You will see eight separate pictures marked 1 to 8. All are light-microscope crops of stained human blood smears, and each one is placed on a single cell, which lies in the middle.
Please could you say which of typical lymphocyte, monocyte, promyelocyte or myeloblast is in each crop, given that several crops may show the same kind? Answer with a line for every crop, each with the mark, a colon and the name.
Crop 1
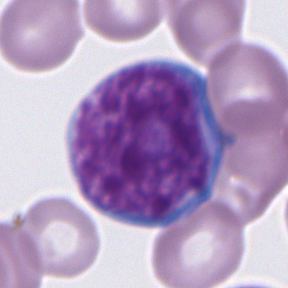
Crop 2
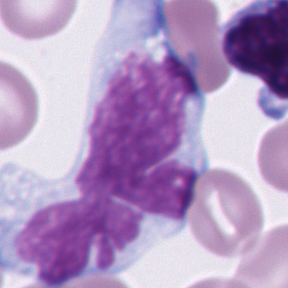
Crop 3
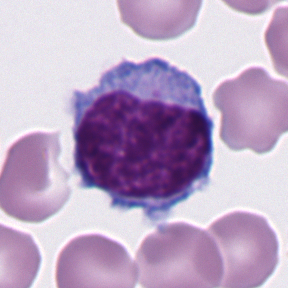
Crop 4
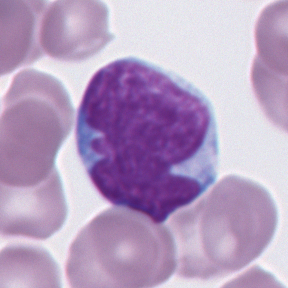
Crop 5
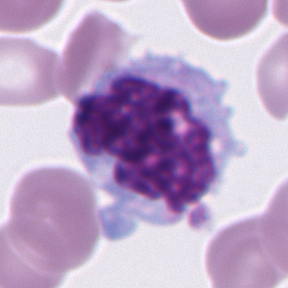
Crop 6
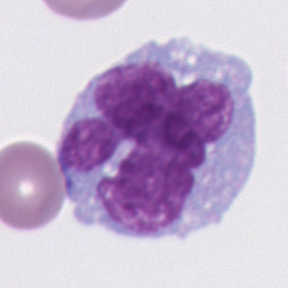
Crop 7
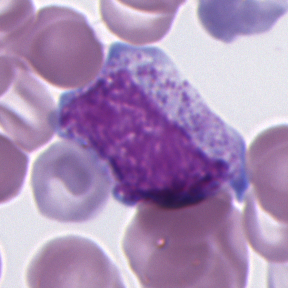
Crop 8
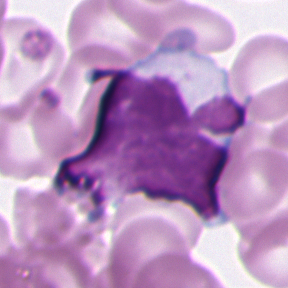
1: myeloblast
2: monocyte
3: myeloblast
4: myeloblast
5: monocyte
6: monocyte
7: promyelocyte
8: typical lymphocyte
